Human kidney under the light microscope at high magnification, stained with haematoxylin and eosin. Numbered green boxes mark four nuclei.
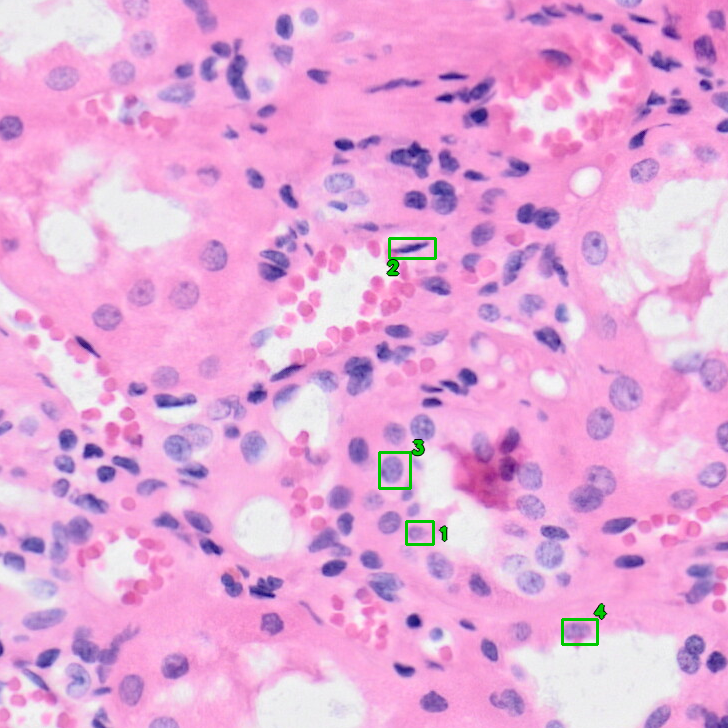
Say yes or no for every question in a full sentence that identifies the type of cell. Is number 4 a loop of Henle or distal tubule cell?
Yes, the cell at number 4 is a loop of Henle or distal tubule cell.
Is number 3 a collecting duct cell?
Yes, kindly take note: the cell numbered 3 is a collecting duct cell.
